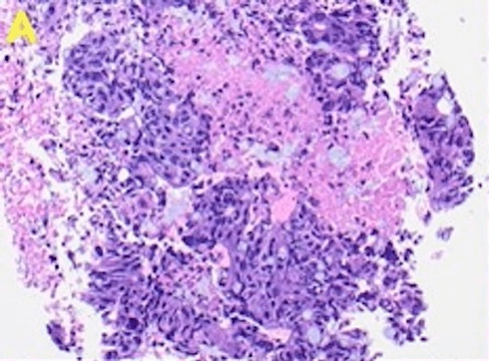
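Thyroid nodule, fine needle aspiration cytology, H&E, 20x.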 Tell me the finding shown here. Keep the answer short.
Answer: Prominent nuclear atypia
